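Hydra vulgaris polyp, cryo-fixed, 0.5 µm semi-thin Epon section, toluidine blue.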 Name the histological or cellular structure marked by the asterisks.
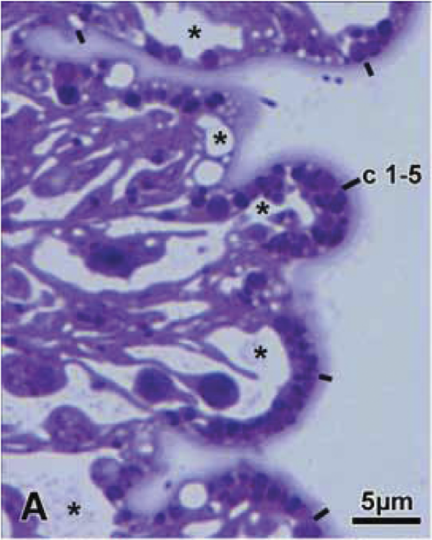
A: Vacuolar system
